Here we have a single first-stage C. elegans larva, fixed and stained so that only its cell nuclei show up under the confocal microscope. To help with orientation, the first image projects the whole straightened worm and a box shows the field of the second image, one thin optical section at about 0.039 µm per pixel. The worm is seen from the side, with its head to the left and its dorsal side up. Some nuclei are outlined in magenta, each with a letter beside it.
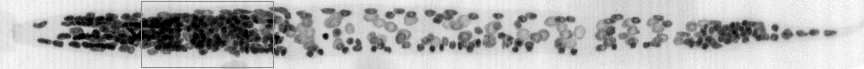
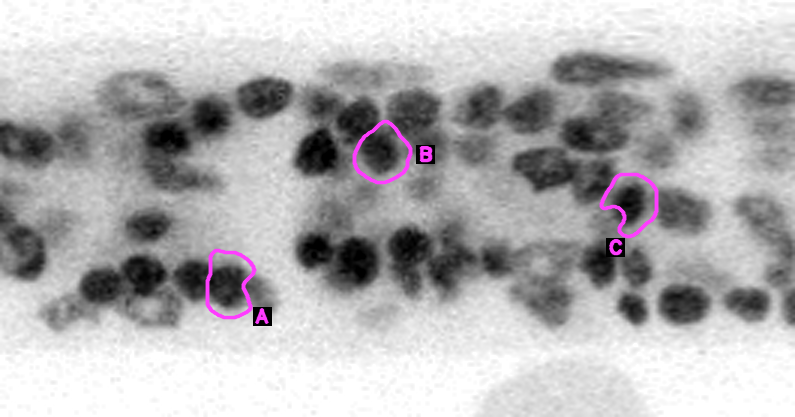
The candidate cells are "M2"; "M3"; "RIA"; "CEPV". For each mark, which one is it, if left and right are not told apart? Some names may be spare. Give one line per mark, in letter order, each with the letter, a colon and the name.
A: CEPV
B: RIA
C: M2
